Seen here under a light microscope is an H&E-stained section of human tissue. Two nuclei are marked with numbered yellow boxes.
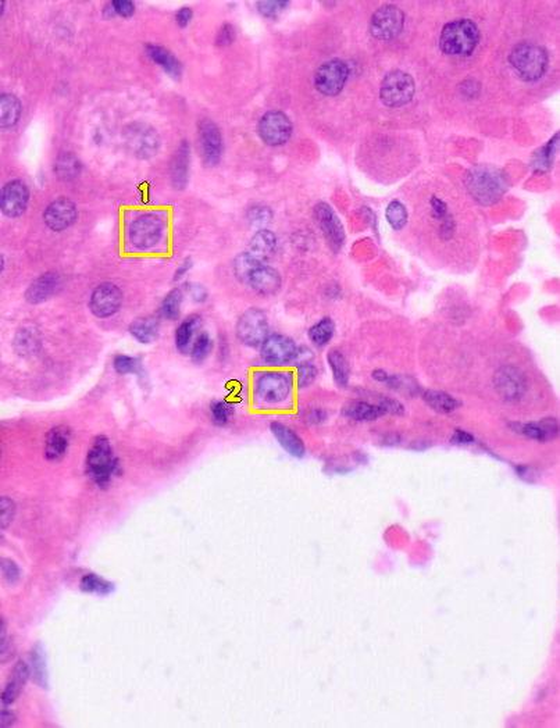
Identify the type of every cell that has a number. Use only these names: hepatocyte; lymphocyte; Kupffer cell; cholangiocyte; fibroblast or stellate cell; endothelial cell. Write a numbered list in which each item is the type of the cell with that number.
1. hepatocyte
2. cholangiocyte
